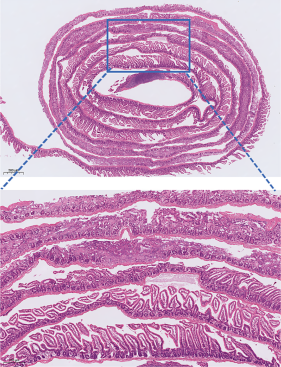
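A long strip of gut wall is coiled in a spiral, and in the enlarged view its mucosa carries dense rows of tall, slender projections lined by a purple-nucleated epithelium over a thin pink muscular wall. This is small intestine with intact villi.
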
